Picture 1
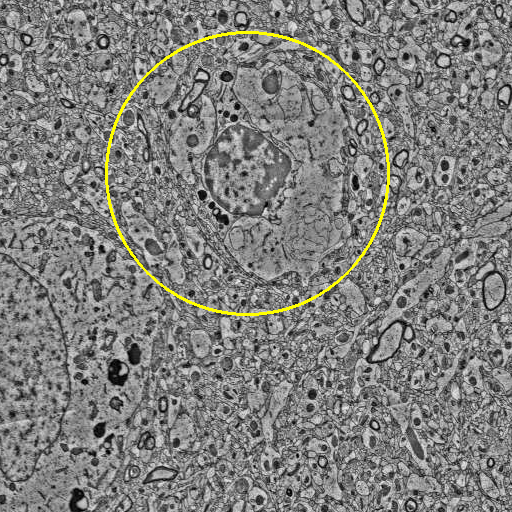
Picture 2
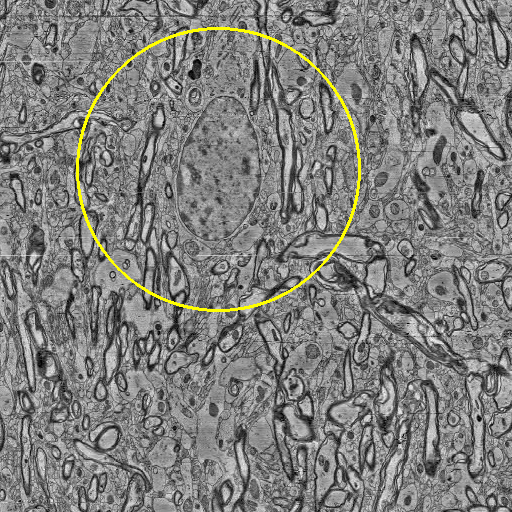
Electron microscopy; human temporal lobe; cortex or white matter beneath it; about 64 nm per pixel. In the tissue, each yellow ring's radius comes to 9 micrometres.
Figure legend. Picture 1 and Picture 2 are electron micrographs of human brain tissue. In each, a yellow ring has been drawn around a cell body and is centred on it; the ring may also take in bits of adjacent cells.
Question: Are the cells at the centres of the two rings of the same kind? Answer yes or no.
yes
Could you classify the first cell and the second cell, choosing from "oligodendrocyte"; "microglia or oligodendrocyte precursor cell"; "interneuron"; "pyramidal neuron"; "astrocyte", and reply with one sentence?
Both pictures show a microglial cell or oligodendrocyte precursor cell at the centre of the ring.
